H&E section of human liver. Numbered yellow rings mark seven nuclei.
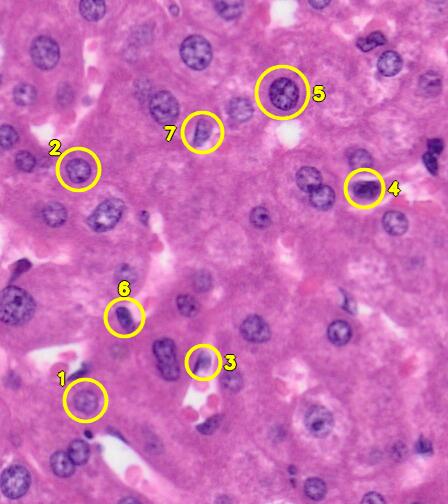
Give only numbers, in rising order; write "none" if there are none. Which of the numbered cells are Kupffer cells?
4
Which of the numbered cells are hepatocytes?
1, 2, 5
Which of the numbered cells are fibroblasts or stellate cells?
6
